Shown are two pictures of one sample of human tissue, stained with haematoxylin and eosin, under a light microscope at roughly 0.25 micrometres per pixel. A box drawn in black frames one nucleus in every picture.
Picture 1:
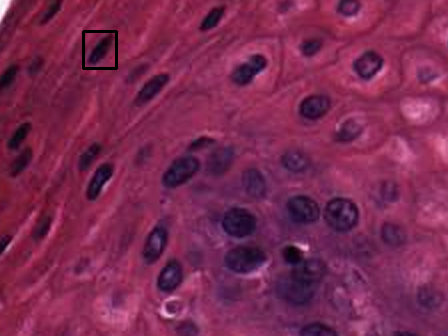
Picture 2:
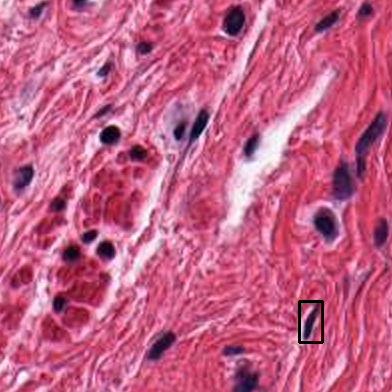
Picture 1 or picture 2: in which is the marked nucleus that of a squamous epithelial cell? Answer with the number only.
1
